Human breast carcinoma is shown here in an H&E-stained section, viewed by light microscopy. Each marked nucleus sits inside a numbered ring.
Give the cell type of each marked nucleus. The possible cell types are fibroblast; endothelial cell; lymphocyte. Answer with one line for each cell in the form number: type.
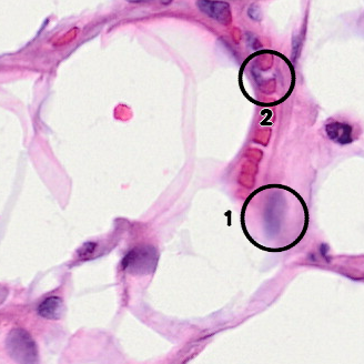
1: fibroblast
2: endothelial cell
